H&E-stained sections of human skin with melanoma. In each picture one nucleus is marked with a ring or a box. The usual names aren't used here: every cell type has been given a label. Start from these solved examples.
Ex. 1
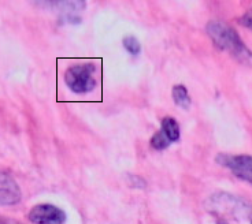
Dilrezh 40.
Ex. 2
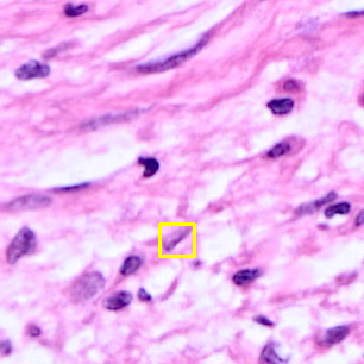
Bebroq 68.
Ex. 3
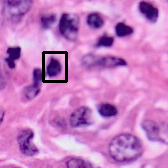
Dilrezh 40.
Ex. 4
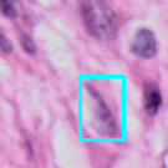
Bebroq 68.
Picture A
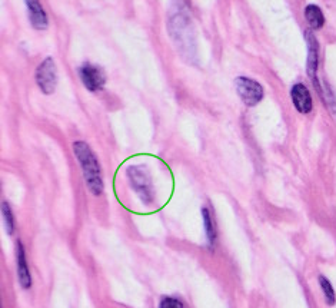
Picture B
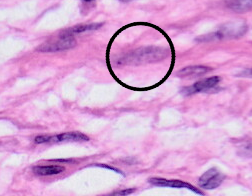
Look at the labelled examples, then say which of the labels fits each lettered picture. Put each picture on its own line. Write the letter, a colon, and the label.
A: Bebroq 68.
B: Bebroq 68.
